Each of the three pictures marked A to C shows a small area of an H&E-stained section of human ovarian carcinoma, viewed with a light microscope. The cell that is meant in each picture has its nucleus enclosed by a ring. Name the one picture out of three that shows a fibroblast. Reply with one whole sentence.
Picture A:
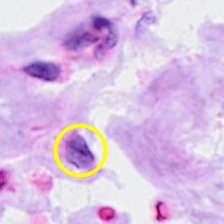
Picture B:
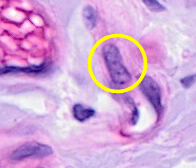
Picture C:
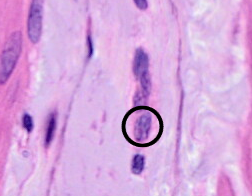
Picture A shows the fibroblast.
